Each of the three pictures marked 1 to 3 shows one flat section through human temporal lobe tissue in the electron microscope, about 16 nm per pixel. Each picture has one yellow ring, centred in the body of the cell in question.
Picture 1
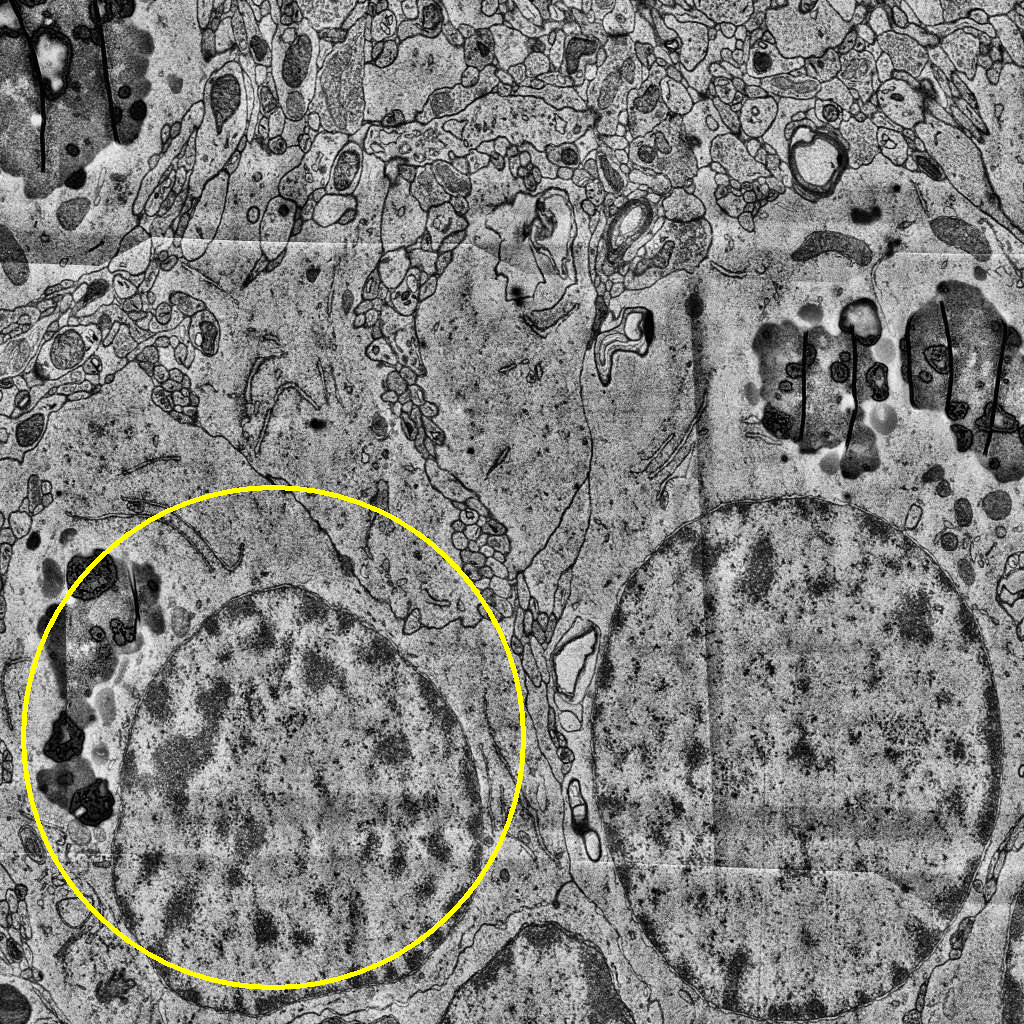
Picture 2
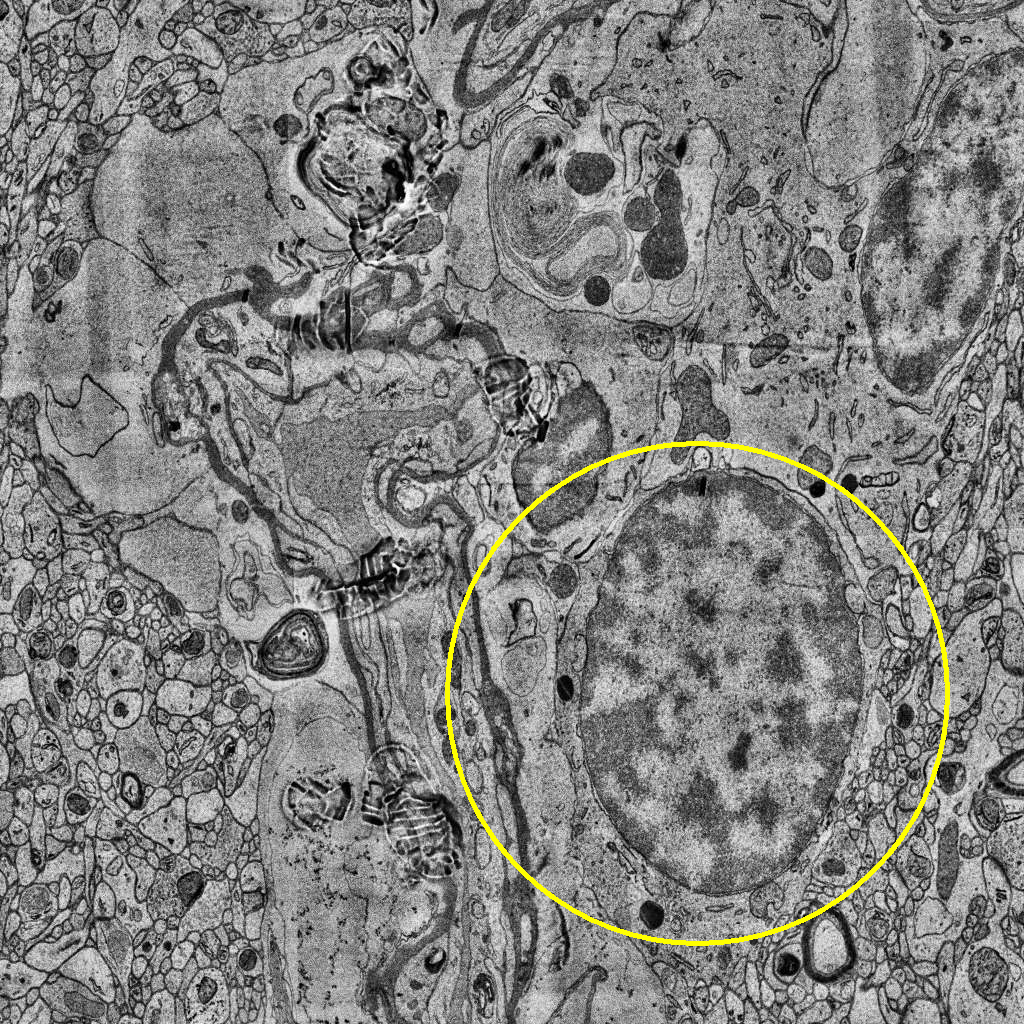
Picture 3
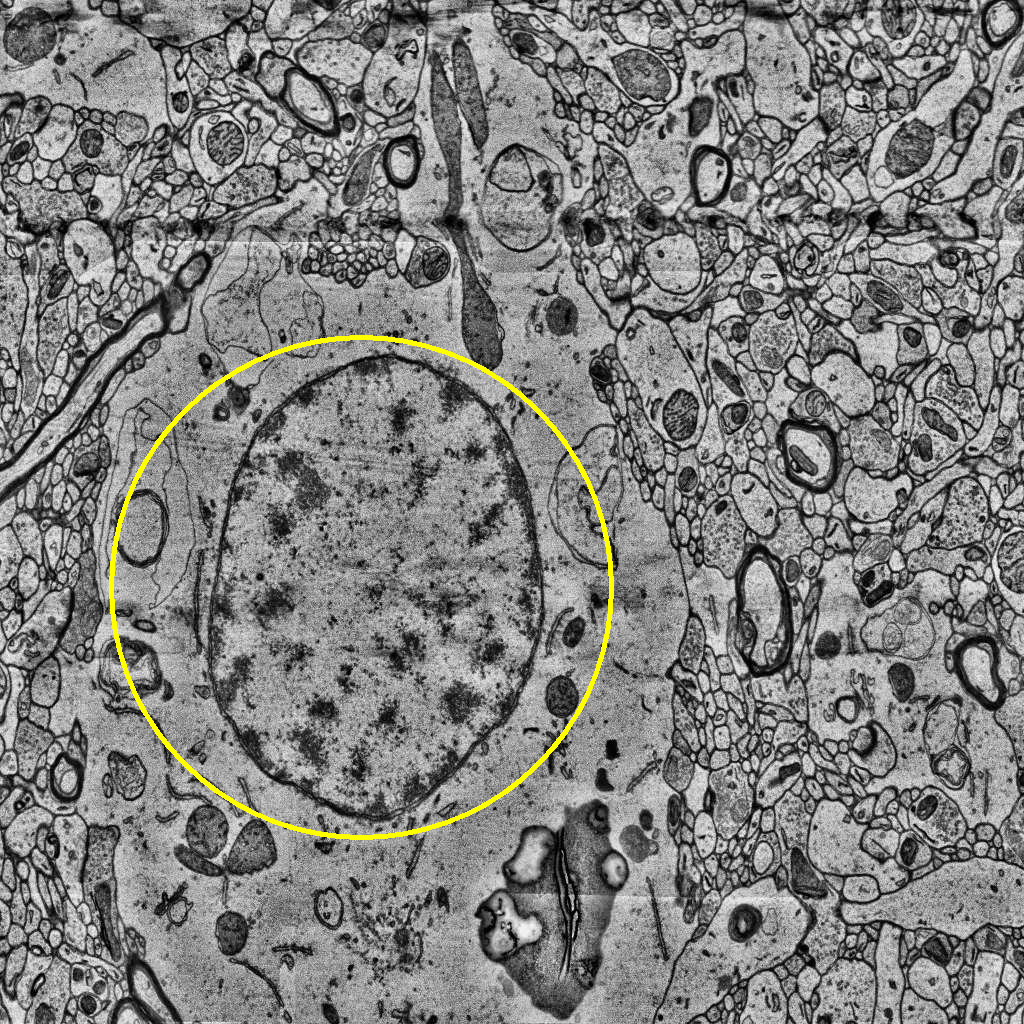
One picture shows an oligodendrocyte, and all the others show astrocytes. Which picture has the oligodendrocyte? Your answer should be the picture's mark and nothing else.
2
